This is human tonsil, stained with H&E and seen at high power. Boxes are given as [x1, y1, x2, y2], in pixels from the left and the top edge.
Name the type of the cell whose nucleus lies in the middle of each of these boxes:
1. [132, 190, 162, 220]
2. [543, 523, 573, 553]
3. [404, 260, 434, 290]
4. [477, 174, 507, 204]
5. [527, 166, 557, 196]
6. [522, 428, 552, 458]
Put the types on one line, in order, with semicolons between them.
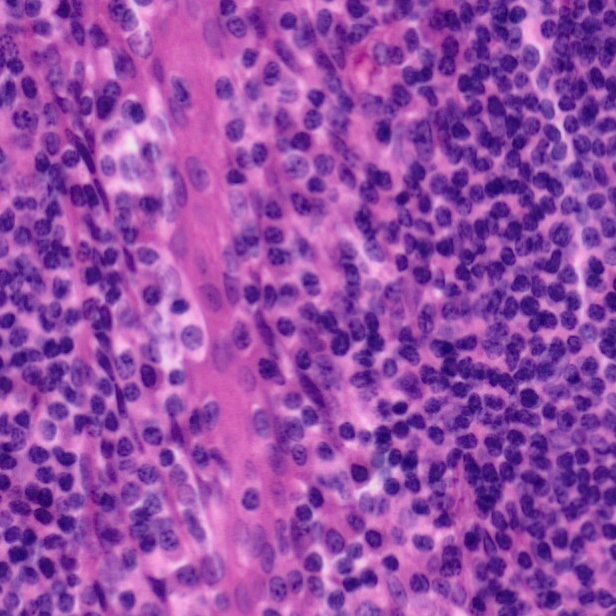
plasma cell; small lymphocyte; plasma cell; small lymphocyte; small lymphocyte; small lymphocyte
